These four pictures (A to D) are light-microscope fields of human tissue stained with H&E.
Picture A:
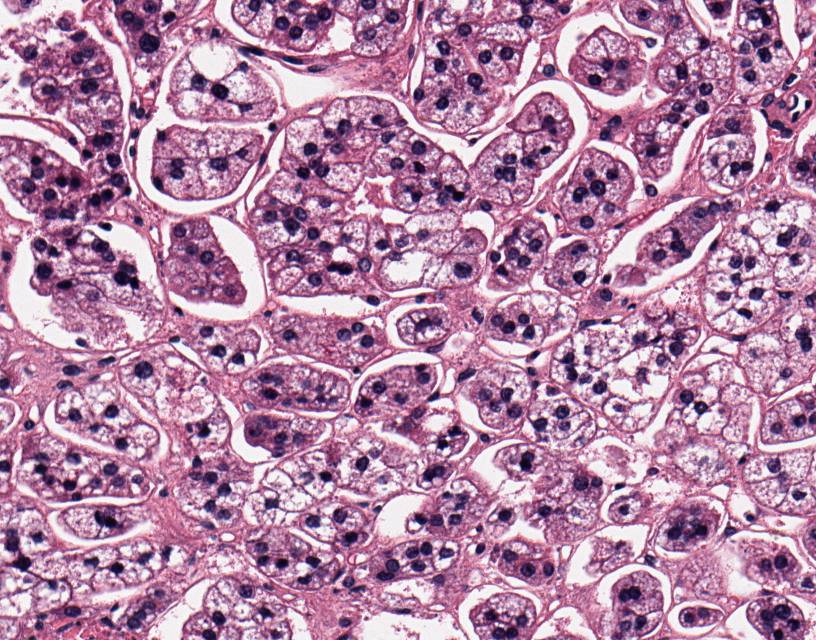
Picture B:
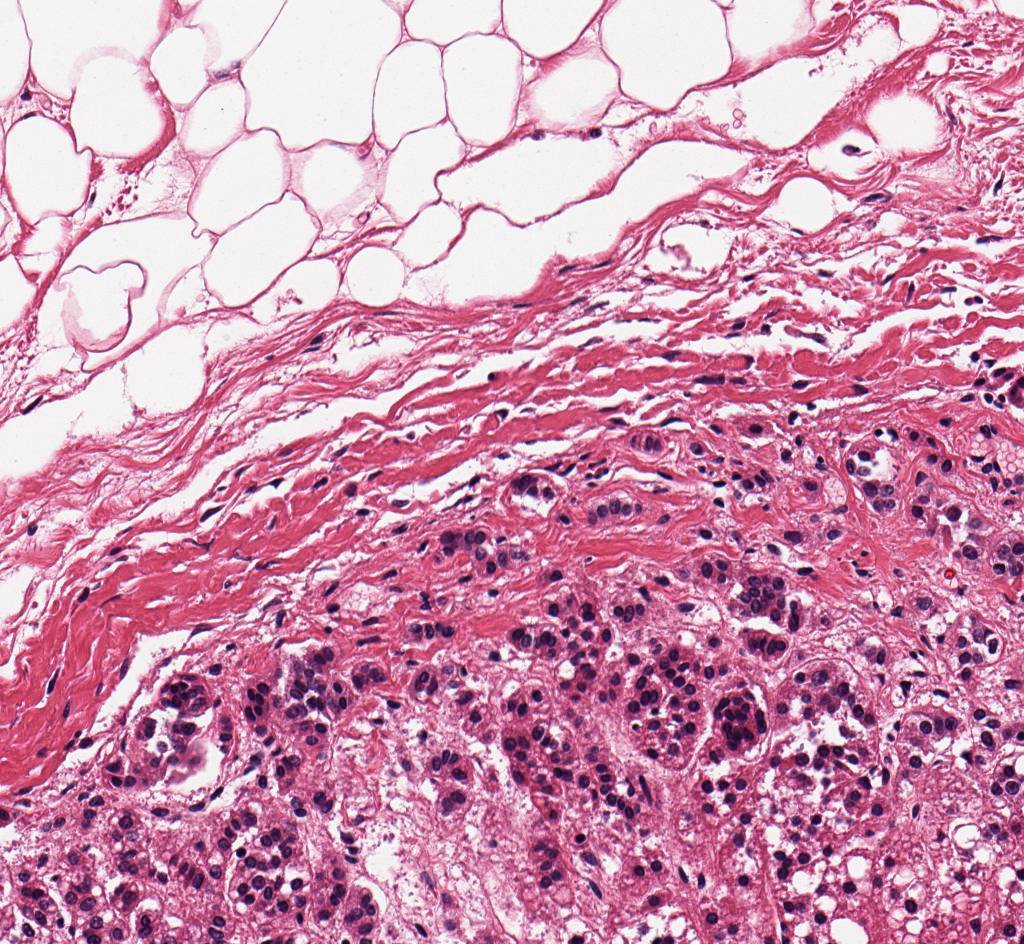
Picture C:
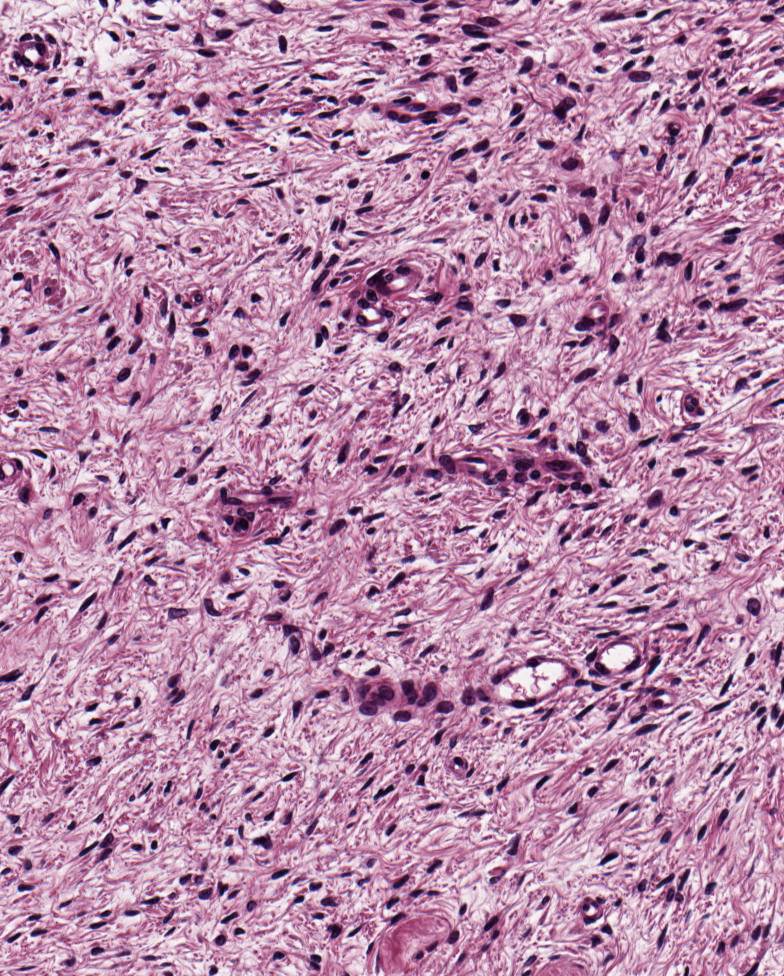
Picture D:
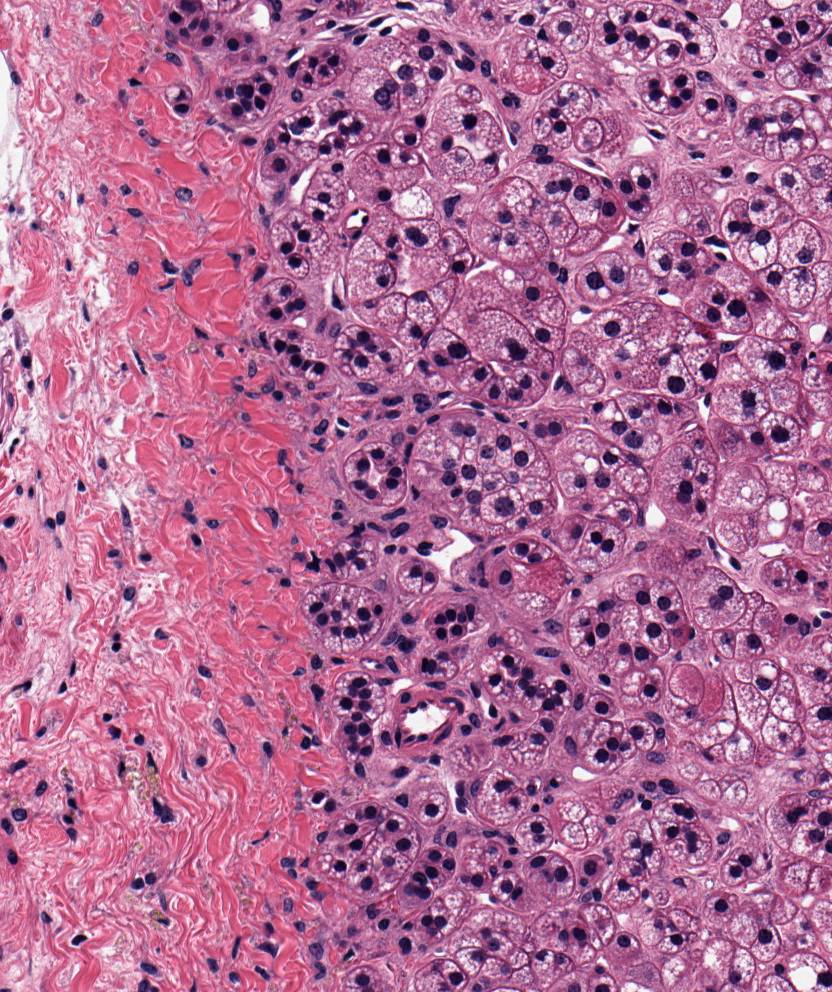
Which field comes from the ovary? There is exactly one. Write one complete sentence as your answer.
Picture C comes from the ovary.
